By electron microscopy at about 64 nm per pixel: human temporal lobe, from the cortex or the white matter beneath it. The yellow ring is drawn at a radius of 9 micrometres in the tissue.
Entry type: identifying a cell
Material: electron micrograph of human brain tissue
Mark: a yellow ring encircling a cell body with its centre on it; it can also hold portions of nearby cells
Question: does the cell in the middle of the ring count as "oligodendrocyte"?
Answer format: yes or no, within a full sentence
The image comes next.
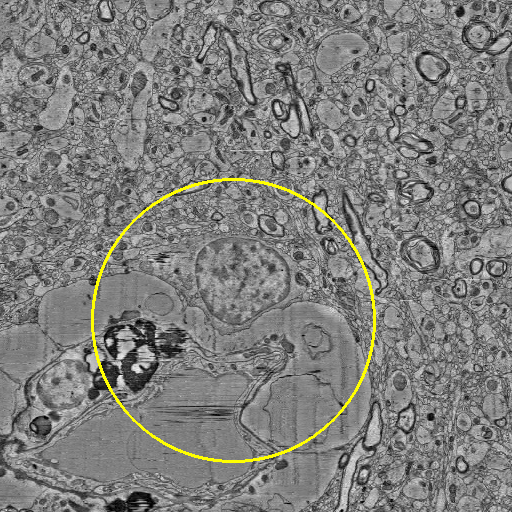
Yes, in the image, the cell in the middle of the yellow ring counts as the queried kind.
